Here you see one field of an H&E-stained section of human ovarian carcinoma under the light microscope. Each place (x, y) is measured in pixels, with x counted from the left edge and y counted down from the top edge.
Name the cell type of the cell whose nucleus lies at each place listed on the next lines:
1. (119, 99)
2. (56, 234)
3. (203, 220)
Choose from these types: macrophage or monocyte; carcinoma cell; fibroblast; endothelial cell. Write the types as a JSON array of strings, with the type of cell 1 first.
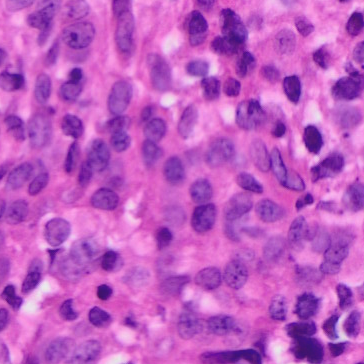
["carcinoma cell", "macrophage or monocyte", "carcinoma cell"]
